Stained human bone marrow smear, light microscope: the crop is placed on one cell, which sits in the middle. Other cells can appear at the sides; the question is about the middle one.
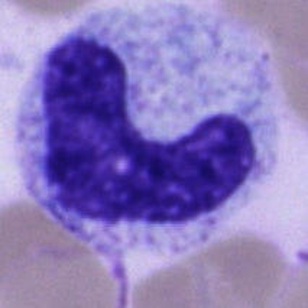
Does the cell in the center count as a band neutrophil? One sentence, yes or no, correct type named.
Yes, the cell in the middle of this smear crop is a band neutrophil.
